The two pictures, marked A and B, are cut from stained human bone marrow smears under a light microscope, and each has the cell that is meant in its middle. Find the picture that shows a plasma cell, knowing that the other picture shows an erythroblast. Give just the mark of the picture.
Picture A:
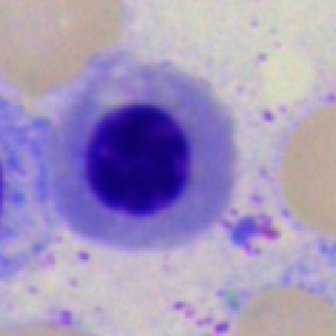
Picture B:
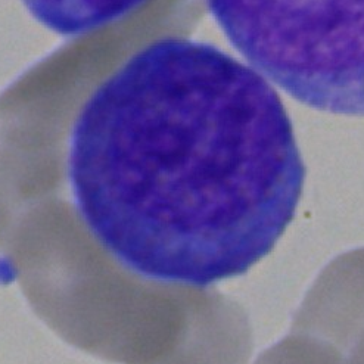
B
